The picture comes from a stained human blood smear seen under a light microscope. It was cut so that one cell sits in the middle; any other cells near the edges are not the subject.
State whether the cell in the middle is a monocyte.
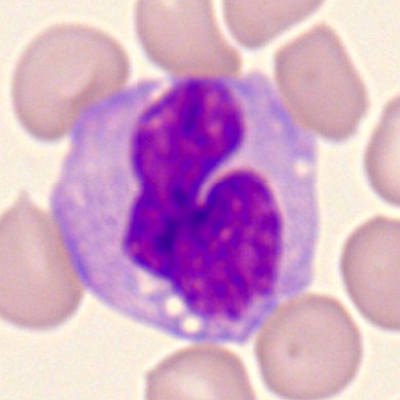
yes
